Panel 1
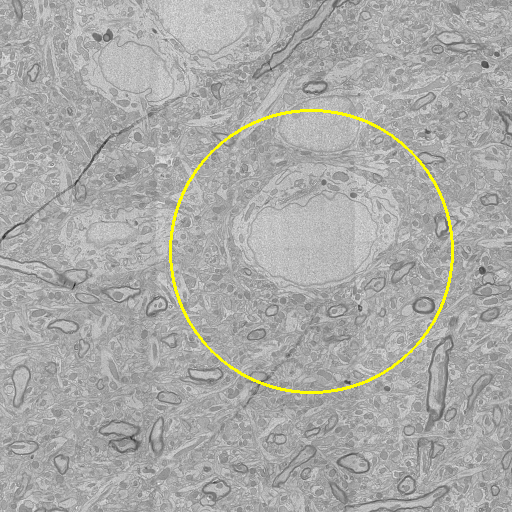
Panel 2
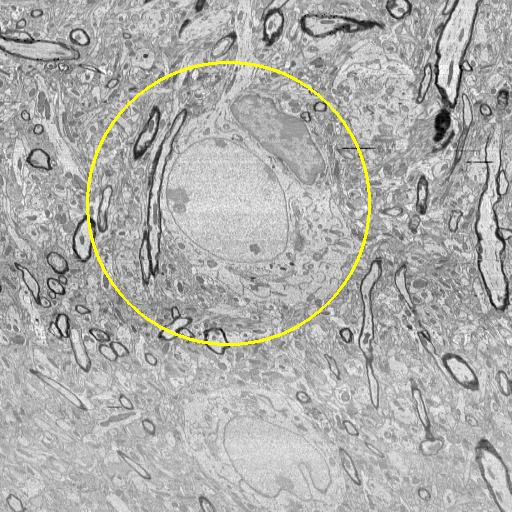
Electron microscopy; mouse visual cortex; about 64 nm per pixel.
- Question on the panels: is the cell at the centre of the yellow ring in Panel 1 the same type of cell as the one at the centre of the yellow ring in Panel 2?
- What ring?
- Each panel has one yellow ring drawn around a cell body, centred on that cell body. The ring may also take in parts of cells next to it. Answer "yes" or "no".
yes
